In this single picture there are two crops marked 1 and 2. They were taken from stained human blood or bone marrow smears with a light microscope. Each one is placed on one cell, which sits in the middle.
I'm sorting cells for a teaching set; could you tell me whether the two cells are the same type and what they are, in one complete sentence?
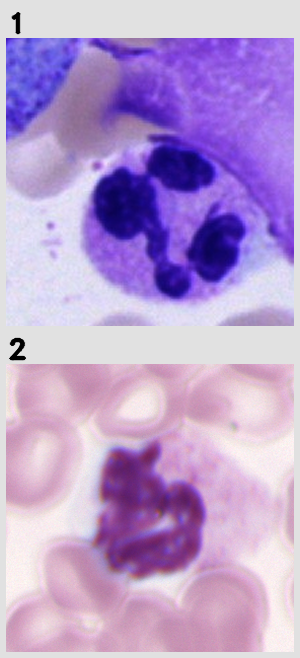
Yes, both crops show a cell each, and these are segmented neutrophils.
